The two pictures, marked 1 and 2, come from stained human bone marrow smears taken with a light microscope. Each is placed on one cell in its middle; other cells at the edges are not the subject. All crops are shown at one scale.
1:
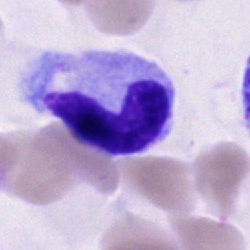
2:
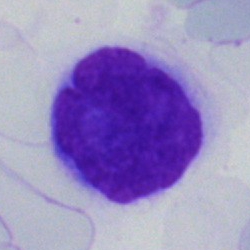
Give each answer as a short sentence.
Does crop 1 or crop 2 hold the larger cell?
It is the cell in crop 2, about 1.5 times as large in area as the cell in crop 1.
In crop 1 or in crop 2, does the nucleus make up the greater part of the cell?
The nucleus fills more of the cell in crop 2 than in crop 1.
